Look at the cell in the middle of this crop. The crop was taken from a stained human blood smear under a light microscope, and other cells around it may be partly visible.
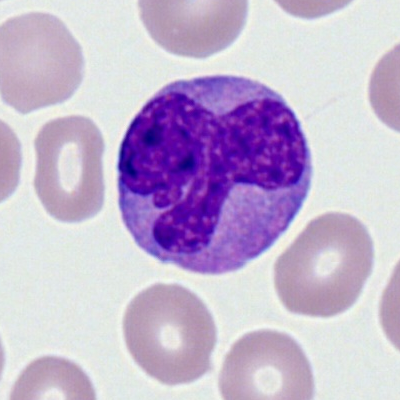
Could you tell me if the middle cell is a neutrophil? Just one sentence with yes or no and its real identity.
No, a monocyte, not a neutrophil, is what sits in the centre of the crop.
